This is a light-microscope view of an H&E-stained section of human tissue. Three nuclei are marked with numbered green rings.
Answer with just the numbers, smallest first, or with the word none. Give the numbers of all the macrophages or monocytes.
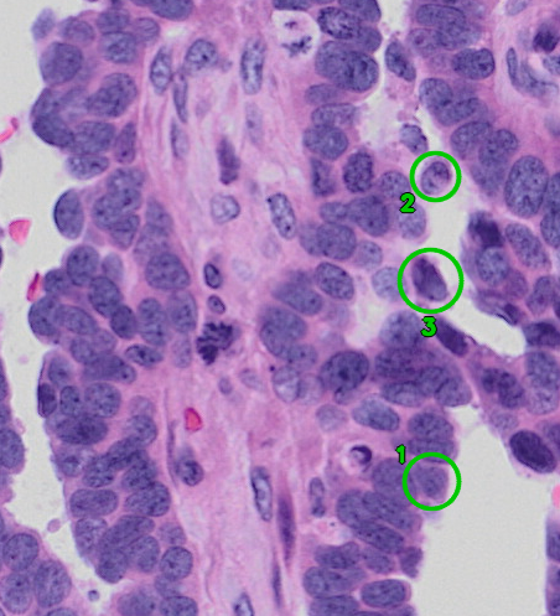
2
